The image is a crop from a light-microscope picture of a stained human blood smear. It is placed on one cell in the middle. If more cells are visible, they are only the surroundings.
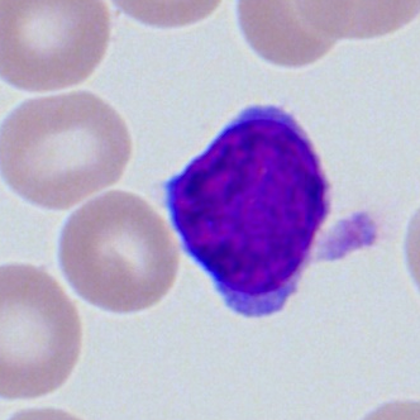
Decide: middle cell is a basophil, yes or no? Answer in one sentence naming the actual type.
No, the cell placed in the centre is a lymphocyte and is not a basophil.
